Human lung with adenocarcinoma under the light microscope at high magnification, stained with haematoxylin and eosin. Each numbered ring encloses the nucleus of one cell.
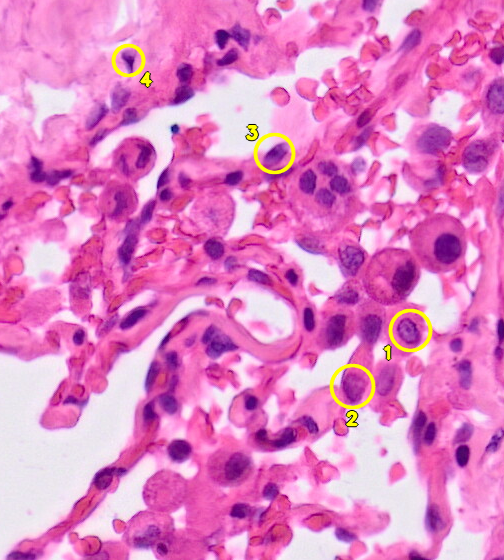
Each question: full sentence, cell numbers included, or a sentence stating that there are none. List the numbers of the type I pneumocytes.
Cell 3 alone, of all the numbered cells, is a type I pneumocyte.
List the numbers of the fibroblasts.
Among the numbered cells, cell 4 alone is a fibroblast.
